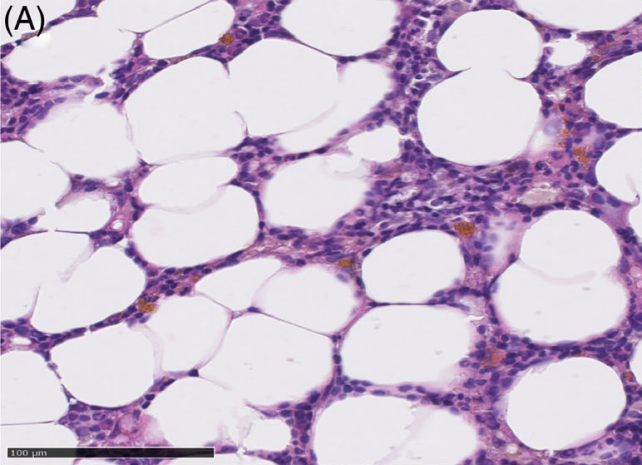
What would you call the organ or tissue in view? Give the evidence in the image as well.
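Many large empty round fat spaces fill much of the section. Densely packed small cells with dark nuclei lie in cords between the fat spaces. Scattered golden-brown pigment clumps lie among the cells.
Hence: bone marrow.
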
